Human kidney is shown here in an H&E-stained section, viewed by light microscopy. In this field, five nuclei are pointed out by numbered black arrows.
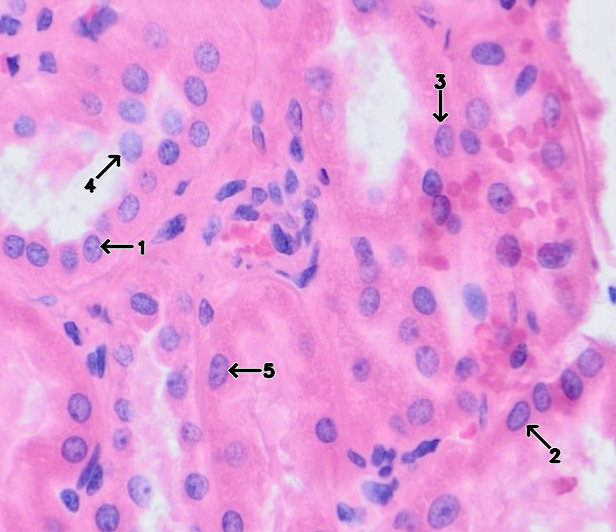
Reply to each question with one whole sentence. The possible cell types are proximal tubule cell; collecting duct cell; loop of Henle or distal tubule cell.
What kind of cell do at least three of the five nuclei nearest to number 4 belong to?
Most of the five nuclei nearest to number 4 are those of loop of Henle or distal tubule cells.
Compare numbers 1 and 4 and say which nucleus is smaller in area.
Nucleus 1 is the smaller one; nucleus 4 covers about 1.5 times its area.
